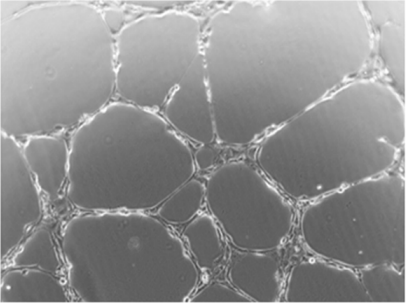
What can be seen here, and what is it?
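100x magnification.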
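Elongated, spindle-shaped cells with bright refractile borders line up end to end, forming branching strands that meet at nodes where several rounded cells cluster together. Between the cords the background is smooth and empty, with only a few isolated rounded cells. The cords vary from thin single-cell strands to thicker multicellular bundles, giving a capillary-like honeycomb pattern.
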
